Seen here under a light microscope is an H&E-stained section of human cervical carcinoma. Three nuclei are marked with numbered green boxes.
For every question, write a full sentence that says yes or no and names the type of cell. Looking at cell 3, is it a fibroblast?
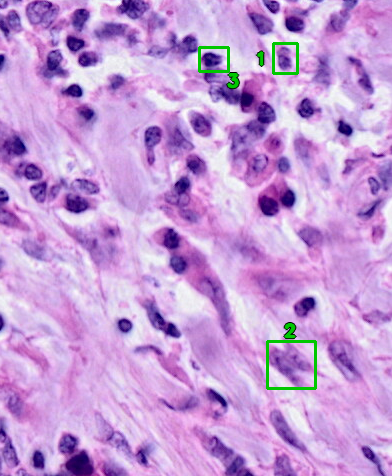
No, cell 3 is a lymphocyte and should not be called a fibroblast.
